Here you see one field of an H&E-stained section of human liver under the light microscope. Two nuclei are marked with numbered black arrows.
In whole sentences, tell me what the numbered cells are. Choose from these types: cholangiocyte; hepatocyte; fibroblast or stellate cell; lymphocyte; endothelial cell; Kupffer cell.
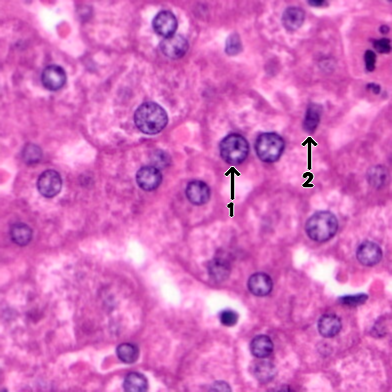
Cell 1 is a hepatocyte and cell 2 is a fibroblast or stellate cell.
